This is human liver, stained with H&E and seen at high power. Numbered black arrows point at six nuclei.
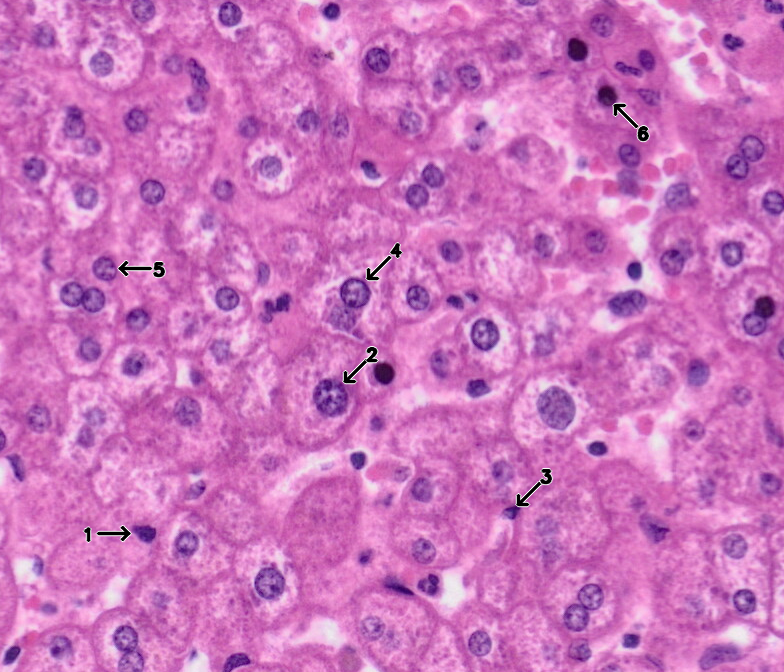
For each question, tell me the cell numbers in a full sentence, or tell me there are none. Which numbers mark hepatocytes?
Cells 2, 4, 5 and 6 in the section are typed as hepatocytes.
